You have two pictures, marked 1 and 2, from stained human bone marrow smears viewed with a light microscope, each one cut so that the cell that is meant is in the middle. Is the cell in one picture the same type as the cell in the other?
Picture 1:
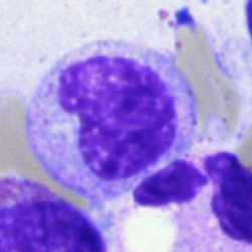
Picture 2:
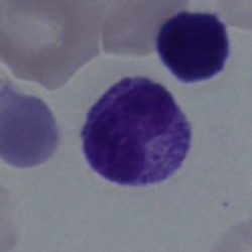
yes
